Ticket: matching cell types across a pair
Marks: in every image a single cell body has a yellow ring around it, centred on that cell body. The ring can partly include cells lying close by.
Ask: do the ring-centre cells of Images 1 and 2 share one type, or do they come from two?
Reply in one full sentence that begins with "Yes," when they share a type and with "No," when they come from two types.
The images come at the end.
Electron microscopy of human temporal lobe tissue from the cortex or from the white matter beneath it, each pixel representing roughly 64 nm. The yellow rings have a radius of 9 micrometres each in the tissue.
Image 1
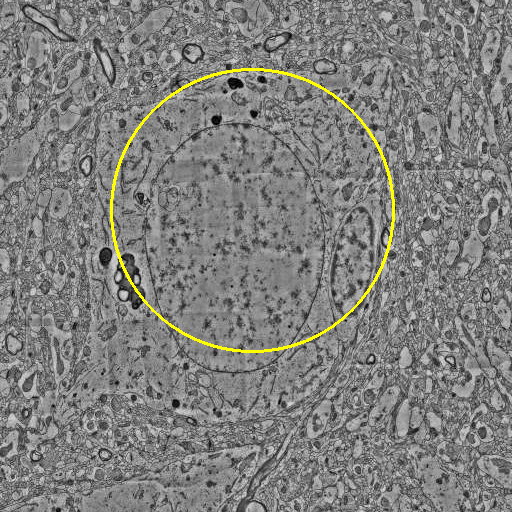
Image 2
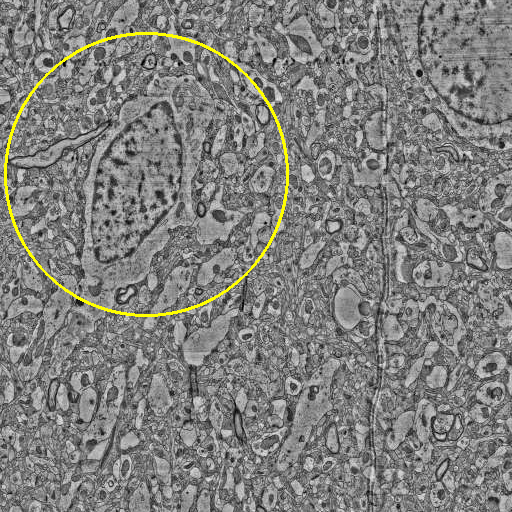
No, the cells in the centres of the rings in Image 1 and Image 2 come from two types.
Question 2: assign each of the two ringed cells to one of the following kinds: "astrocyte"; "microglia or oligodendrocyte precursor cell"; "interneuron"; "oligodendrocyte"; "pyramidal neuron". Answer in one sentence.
The two cells are a pyramidal neuron in the first picture and a microglial cell or oligodendrocyte precursor cell in the second.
